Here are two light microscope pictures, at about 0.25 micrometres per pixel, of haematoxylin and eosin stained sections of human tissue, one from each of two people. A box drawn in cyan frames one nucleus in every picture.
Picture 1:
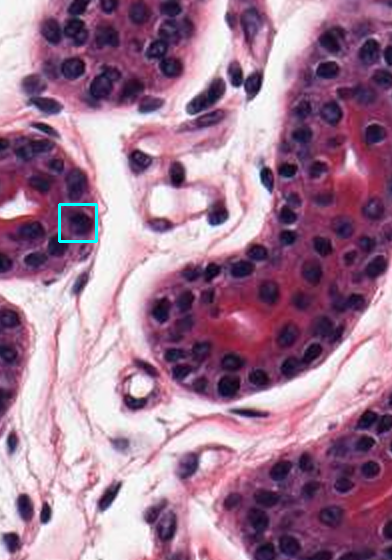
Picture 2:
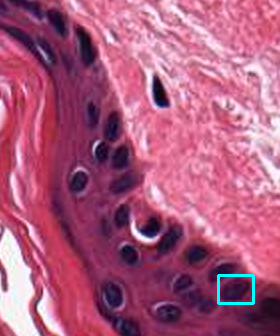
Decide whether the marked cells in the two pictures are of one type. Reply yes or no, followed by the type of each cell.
No, the first is a sweat gland cell and the second a keratinocyte.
